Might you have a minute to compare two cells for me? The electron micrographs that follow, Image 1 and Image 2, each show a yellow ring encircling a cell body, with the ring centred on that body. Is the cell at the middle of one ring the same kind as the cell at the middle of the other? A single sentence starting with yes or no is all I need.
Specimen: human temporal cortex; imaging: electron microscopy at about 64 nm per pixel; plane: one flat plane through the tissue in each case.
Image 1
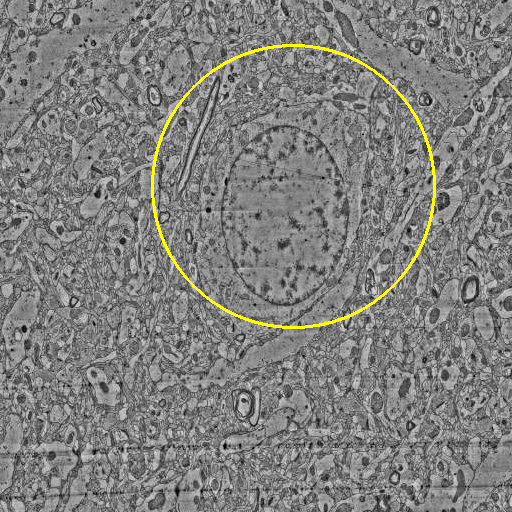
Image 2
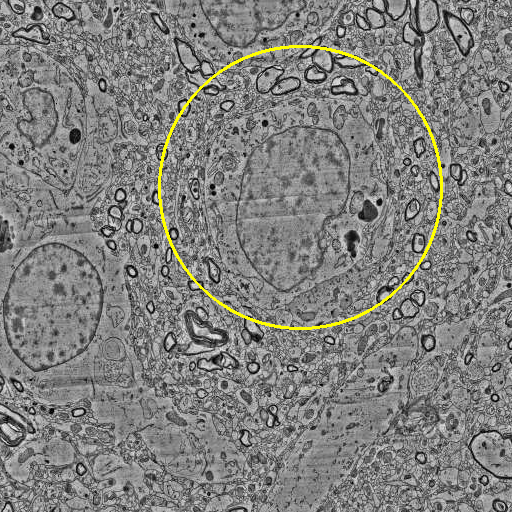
Yes, the cells in the middle of the two rings are of one shared kind.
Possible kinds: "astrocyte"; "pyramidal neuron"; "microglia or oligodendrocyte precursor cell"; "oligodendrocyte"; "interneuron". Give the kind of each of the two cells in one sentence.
The ring centre holds a pyramidal neuron in each of the two pictures.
